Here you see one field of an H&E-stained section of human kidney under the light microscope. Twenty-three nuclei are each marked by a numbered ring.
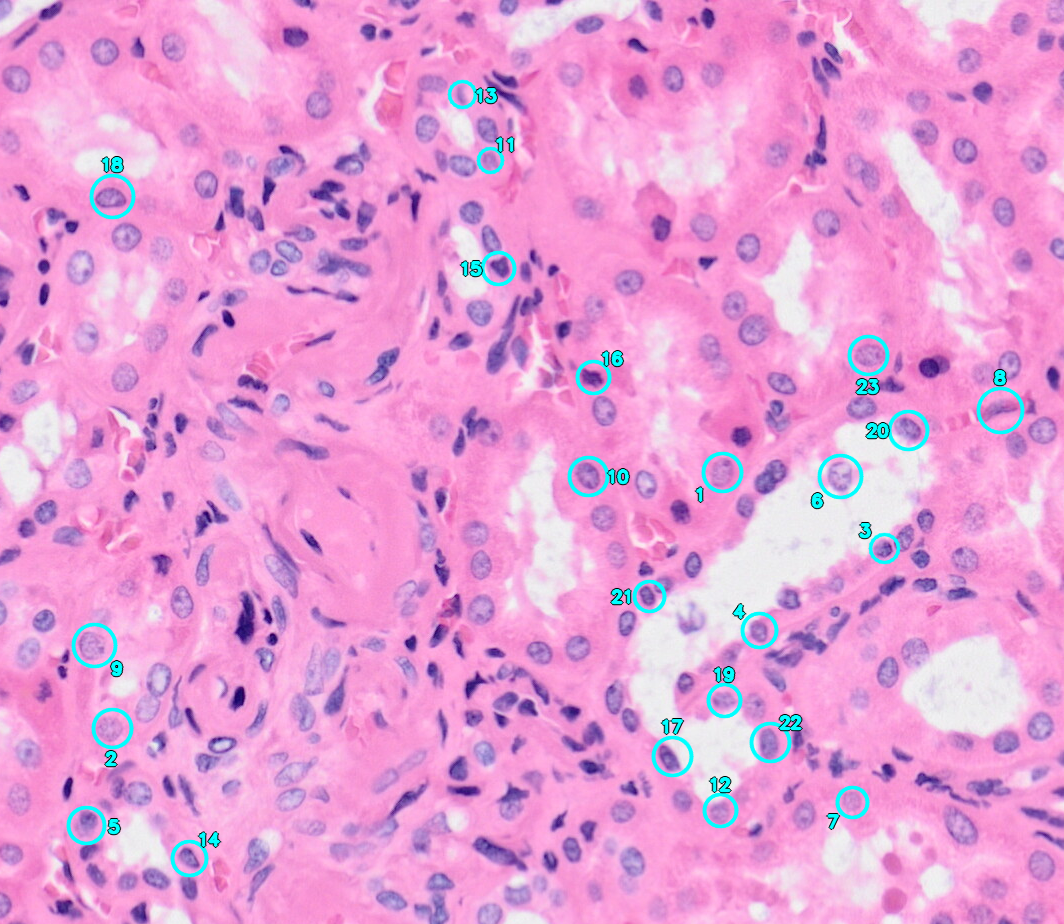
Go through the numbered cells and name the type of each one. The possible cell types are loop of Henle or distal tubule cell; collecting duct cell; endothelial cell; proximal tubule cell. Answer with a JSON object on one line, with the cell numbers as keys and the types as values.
{"1": "proximal tubule cell", "2": "proximal tubule cell", "3": "loop of Henle or distal tubule cell", "4": "loop of Henle or distal tubule cell", "5": "collecting duct cell", "6": "loop of Henle or distal tubule cell", "7": "proximal tubule cell", "8": "endothelial cell", "9": "proximal tubule cell", "10": "proximal tubule cell", "11": "collecting duct cell", "12": "loop of Henle or distal tubule cell", "13": "collecting duct cell", "14": "collecting duct cell", "15": "collecting duct cell", "16": "proximal tubule cell", "17": "loop of Henle or distal tubule cell", "18": "proximal tubule cell", "19": "loop of Henle or distal tubule cell", "20": "loop of Henle or distal tubule cell", "21": "loop of Henle or distal tubule cell", "22": "loop of Henle or distal tubule cell", "23": "proximal tubule cell"}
